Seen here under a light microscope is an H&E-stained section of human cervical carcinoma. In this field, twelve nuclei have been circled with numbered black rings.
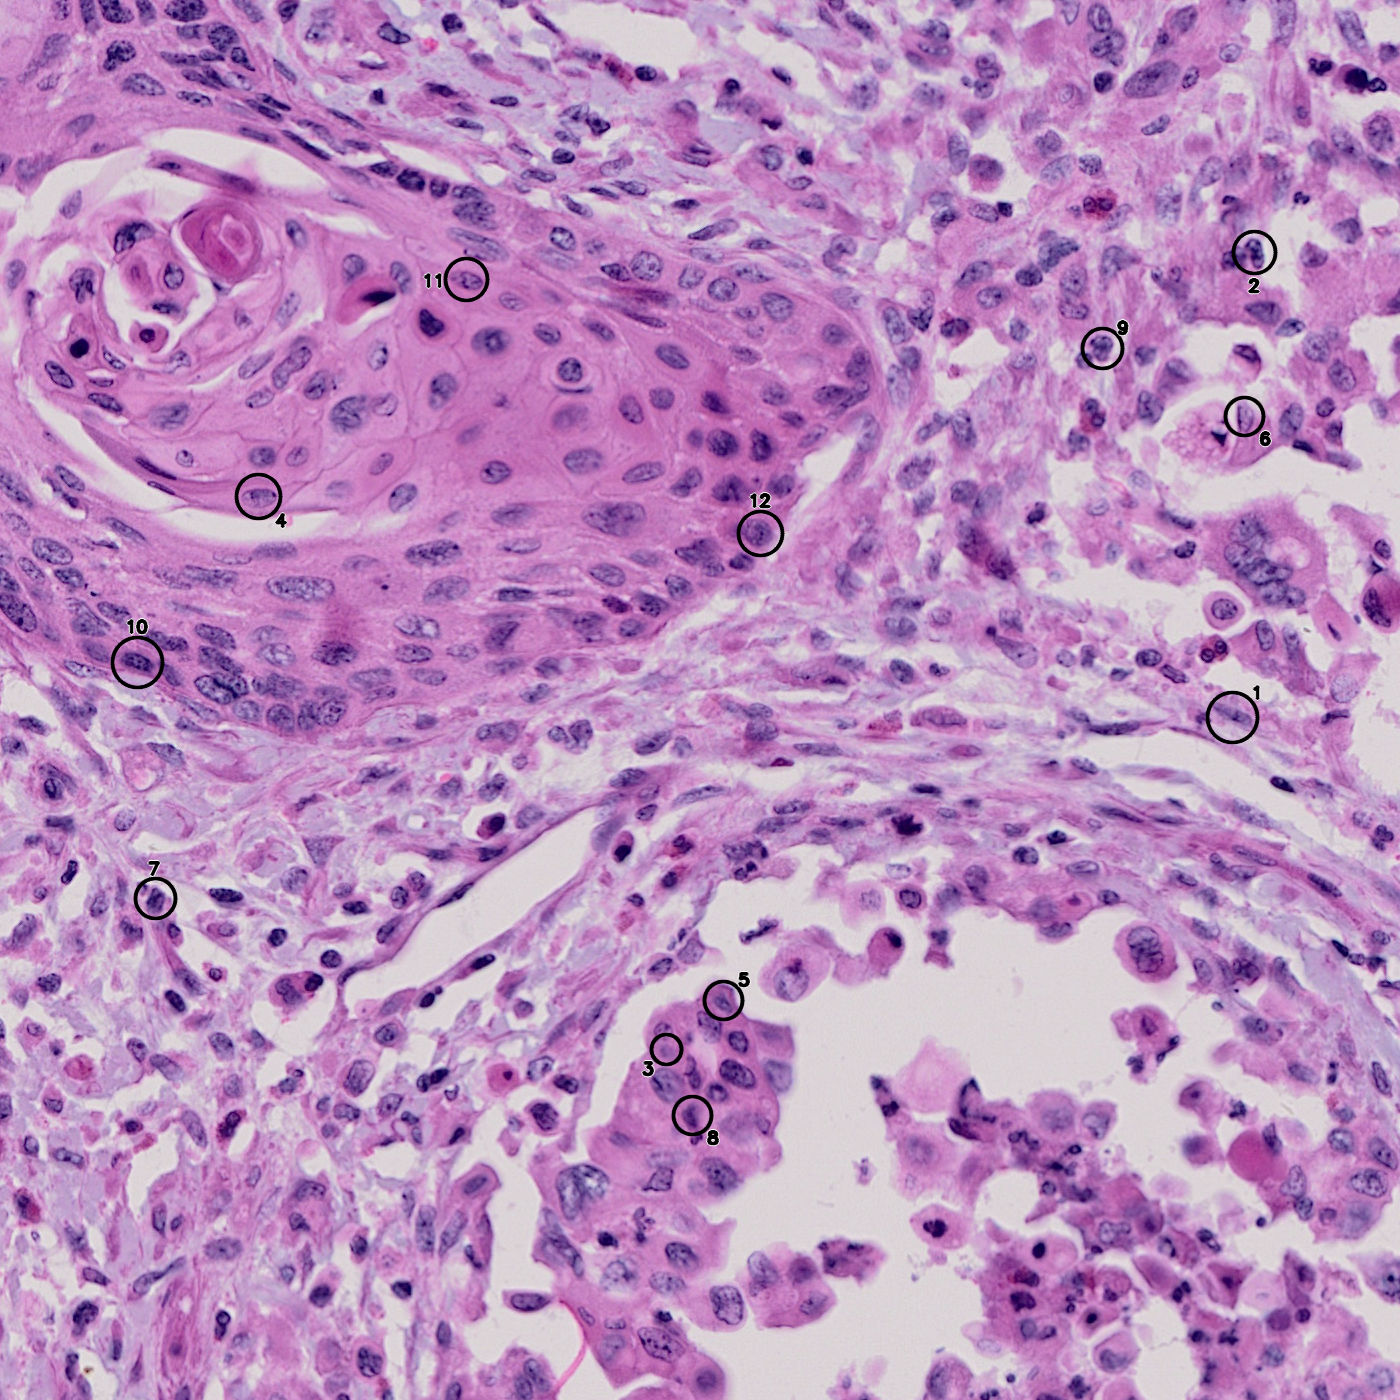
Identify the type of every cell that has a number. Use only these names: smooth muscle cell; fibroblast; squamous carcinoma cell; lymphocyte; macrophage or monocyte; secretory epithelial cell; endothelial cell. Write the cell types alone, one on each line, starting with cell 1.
fibroblast
lymphocyte
squamous carcinoma cell
squamous carcinoma cell
squamous carcinoma cell
macrophage or monocyte
lymphocyte
squamous carcinoma cell
lymphocyte
squamous carcinoma cell
squamous carcinoma cell
squamous carcinoma cell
